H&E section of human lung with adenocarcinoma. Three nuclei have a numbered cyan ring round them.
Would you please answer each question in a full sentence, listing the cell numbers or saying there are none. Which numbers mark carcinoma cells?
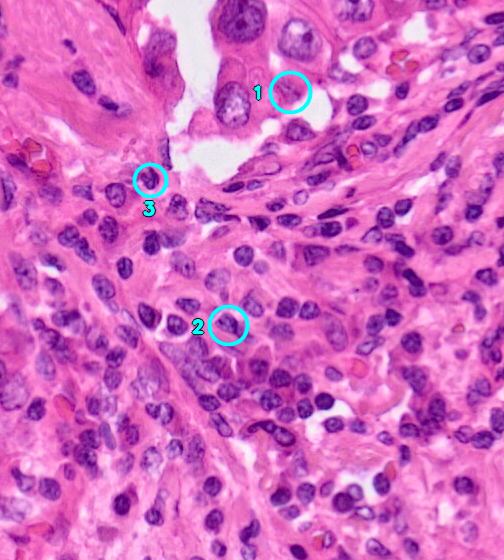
The numbered cells include exactly one that is a carcinoma cell, which is cell 1.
